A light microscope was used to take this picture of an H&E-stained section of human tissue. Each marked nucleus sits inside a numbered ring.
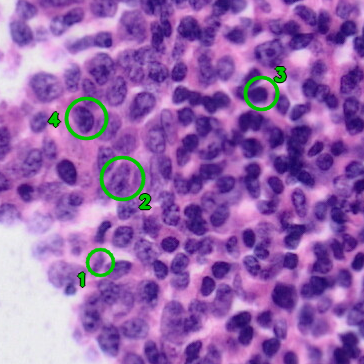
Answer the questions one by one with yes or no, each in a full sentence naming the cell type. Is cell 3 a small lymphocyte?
Yes, number 3 is assigned to a cell that is a small lymphocyte.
